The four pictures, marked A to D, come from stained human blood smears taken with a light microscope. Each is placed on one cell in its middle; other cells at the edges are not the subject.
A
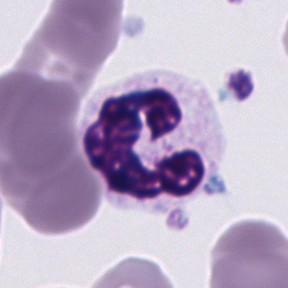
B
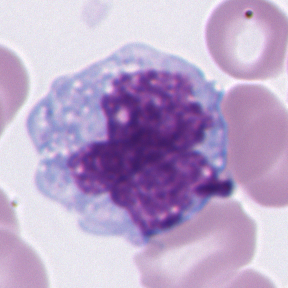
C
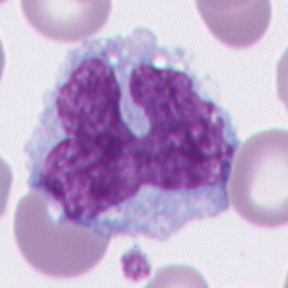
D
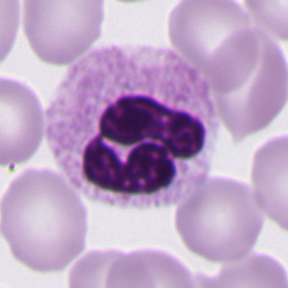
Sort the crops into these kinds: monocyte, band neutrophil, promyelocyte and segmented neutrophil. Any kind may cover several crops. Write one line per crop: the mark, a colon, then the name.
A: segmented neutrophil
B: monocyte
C: monocyte
D: segmented neutrophil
